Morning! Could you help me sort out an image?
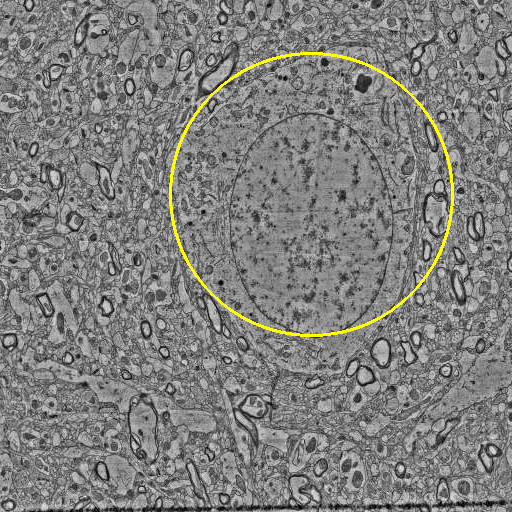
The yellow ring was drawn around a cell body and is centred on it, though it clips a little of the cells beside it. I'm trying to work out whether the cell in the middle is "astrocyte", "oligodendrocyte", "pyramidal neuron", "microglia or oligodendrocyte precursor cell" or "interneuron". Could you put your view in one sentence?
The ringed cell body is that of a pyramidal neuron.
